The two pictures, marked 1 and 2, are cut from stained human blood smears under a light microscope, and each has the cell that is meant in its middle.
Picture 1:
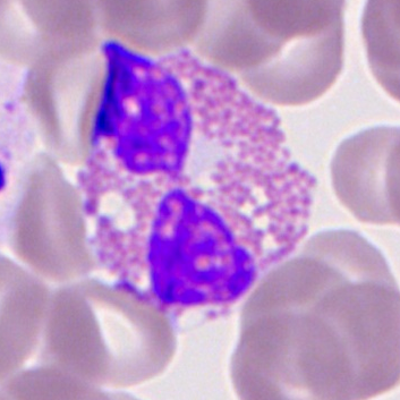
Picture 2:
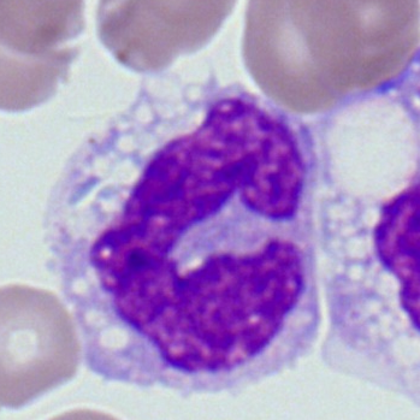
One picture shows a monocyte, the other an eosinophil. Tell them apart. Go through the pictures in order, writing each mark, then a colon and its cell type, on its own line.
1: eosinophil
2: monocyte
